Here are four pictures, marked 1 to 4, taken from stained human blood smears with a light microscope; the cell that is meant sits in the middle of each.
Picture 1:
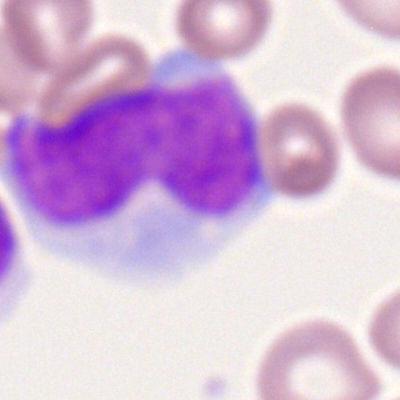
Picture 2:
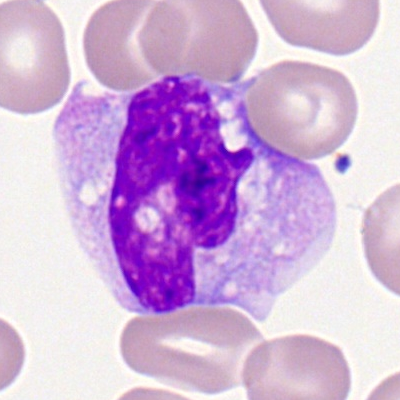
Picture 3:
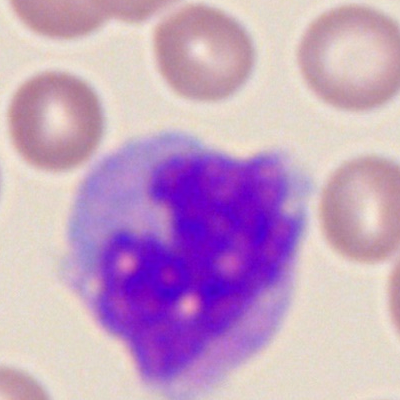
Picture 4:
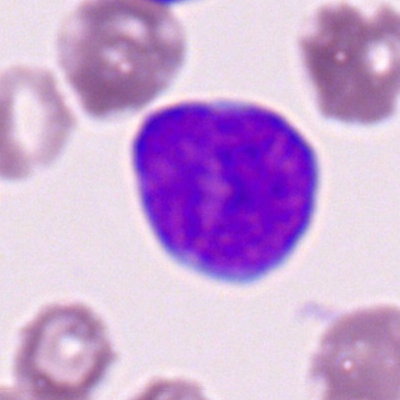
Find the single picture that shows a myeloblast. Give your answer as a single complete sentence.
The cell in picture 4 is the myeloblast.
